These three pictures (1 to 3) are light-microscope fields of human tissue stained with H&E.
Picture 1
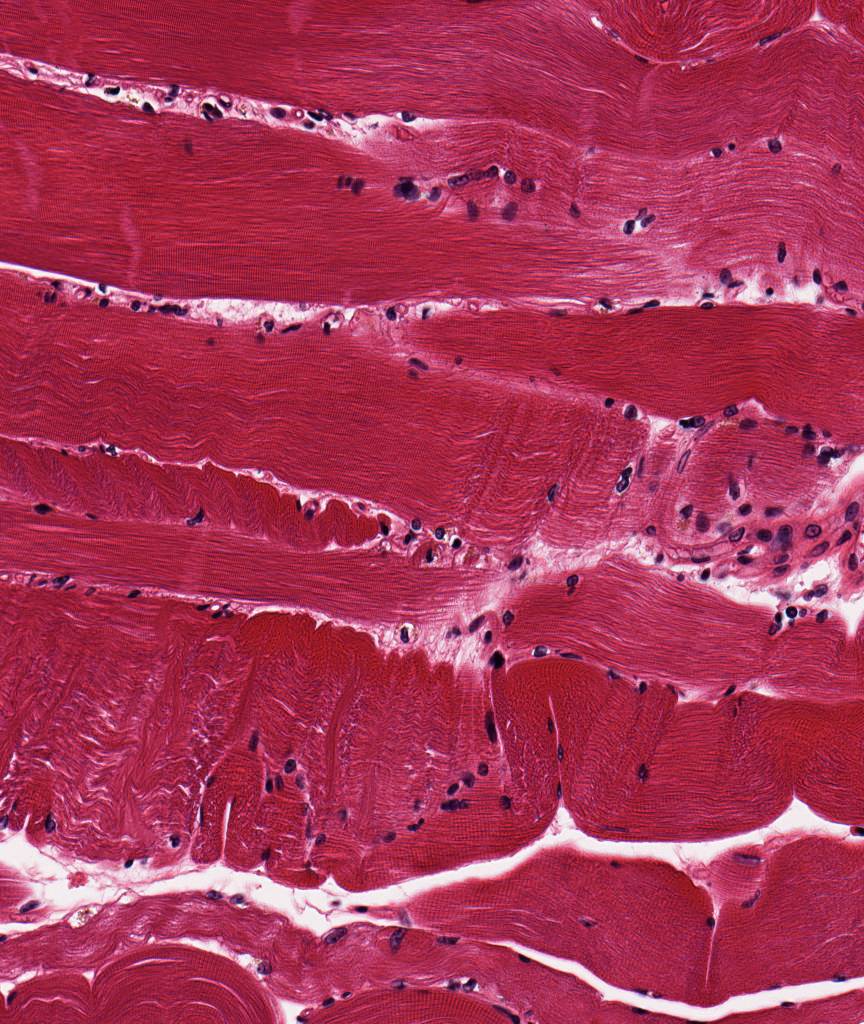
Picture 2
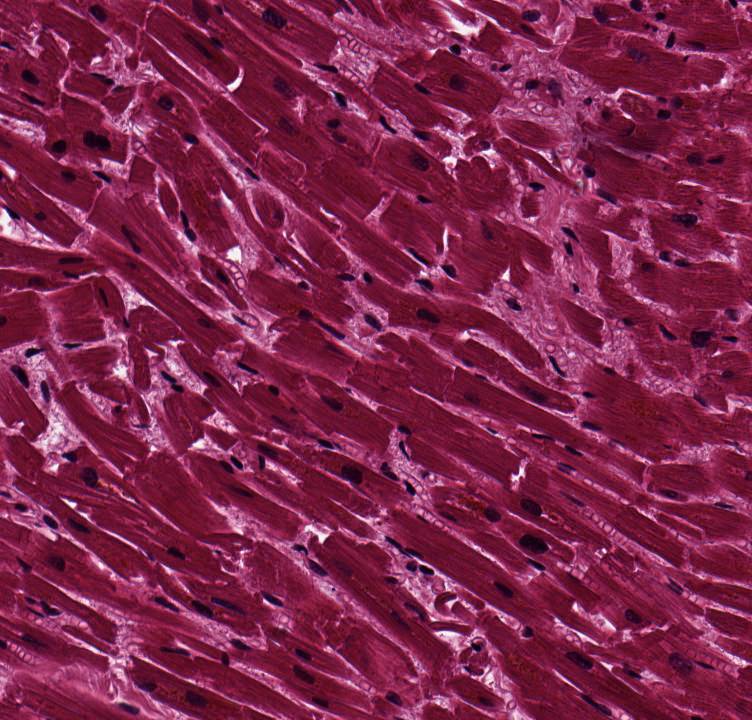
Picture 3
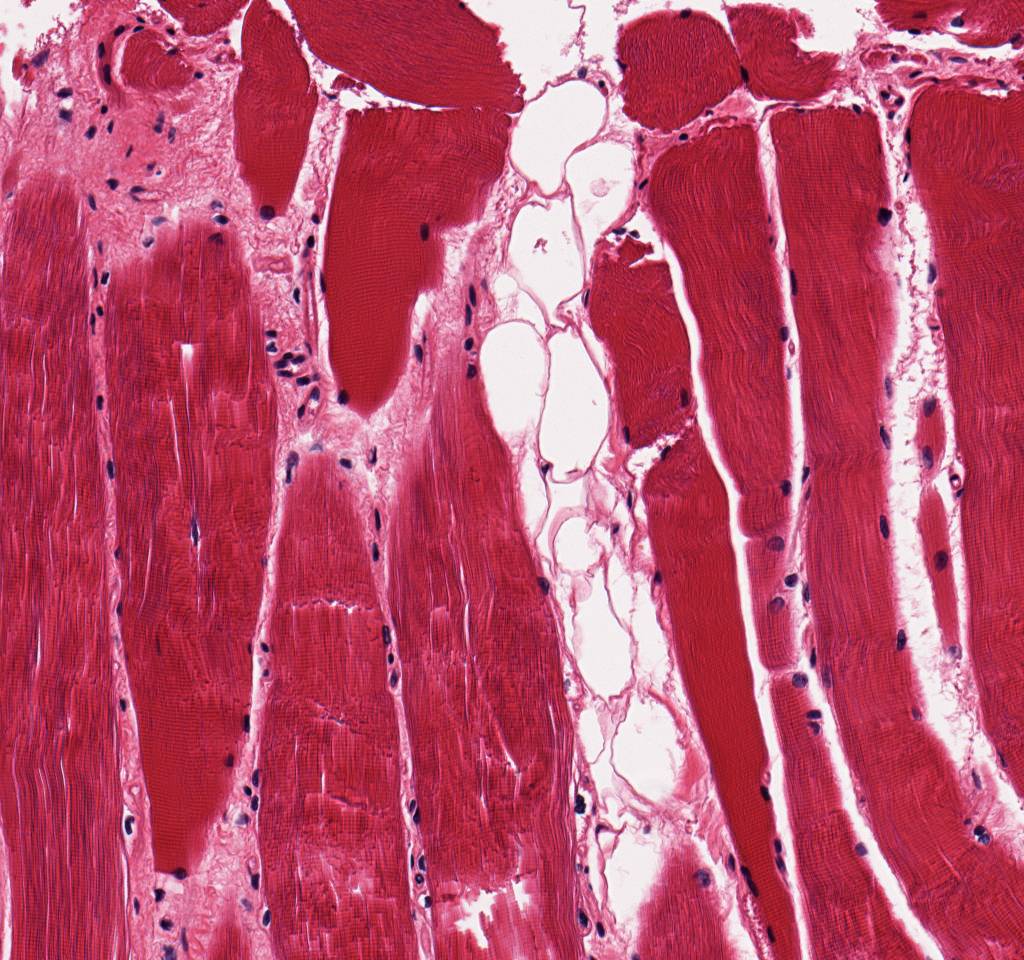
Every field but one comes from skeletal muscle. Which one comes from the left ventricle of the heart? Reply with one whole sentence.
The one that comes from the left ventricle of the heart is picture 2.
